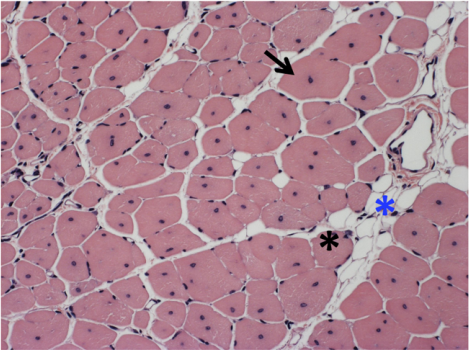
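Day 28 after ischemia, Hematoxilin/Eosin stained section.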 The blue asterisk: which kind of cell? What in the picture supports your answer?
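The asterisk sits in a pale interstitial area with empty, clear round spaces. The spaces are bounded by thin membranes, unlike pink fibers. So: adipose cells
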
